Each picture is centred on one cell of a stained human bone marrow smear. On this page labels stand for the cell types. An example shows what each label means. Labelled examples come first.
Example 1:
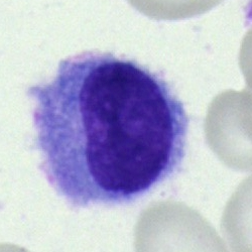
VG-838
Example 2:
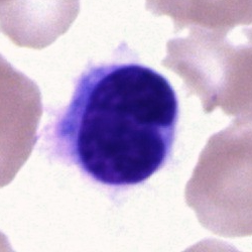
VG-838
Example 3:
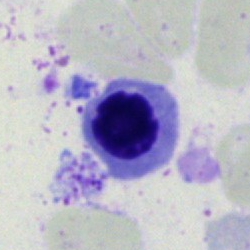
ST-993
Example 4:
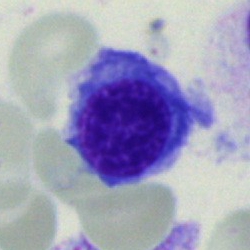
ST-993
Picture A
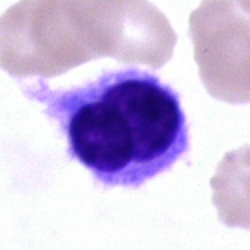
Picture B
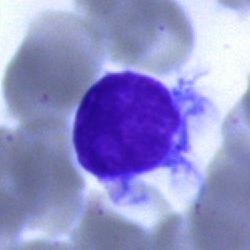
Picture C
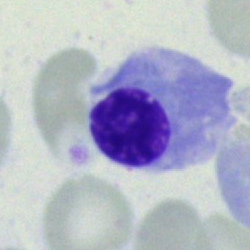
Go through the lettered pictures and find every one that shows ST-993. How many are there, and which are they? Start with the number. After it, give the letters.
1, namely C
